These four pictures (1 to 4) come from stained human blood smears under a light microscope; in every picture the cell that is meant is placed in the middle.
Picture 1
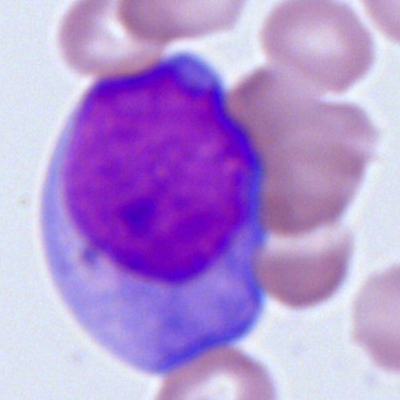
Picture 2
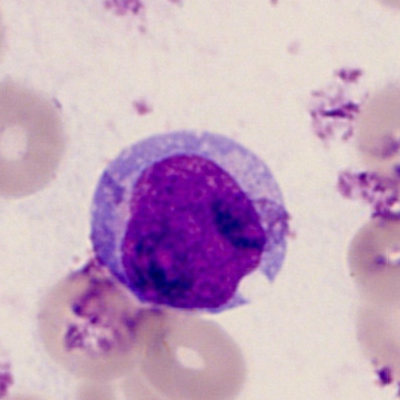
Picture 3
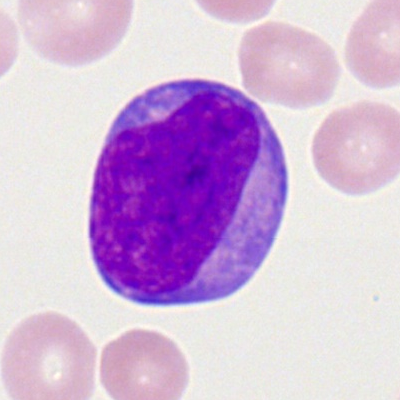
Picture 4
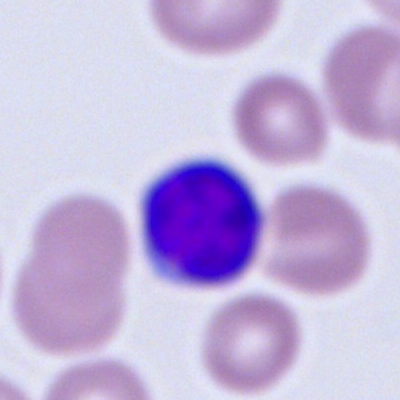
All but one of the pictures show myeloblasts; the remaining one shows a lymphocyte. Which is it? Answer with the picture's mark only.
4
